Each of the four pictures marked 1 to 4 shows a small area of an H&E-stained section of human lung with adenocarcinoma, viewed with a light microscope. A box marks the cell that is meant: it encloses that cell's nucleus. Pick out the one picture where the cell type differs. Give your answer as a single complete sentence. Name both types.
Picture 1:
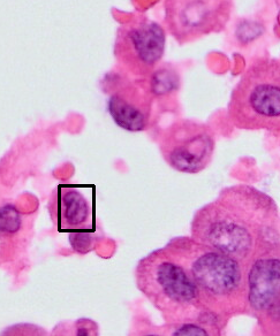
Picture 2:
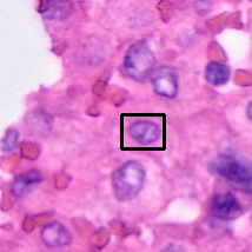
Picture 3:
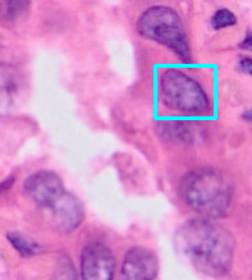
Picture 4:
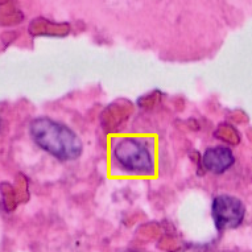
The different one is picture 3; it shows a carcinoma cell, whereas all the others show “macrophages or monocytes”.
